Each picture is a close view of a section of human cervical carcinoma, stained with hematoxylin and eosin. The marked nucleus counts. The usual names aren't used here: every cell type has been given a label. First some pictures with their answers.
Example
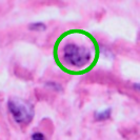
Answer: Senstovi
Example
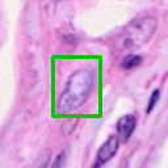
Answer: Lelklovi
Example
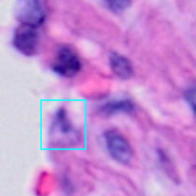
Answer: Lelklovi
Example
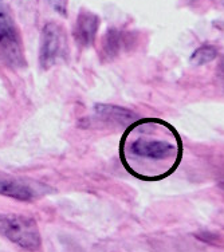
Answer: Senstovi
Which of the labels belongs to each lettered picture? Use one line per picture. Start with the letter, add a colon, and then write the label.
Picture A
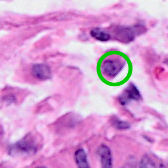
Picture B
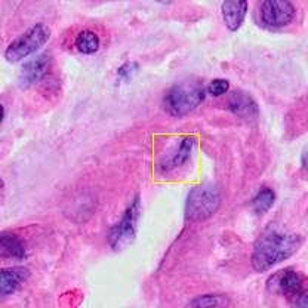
A: Senstovi
B: Lelklovi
